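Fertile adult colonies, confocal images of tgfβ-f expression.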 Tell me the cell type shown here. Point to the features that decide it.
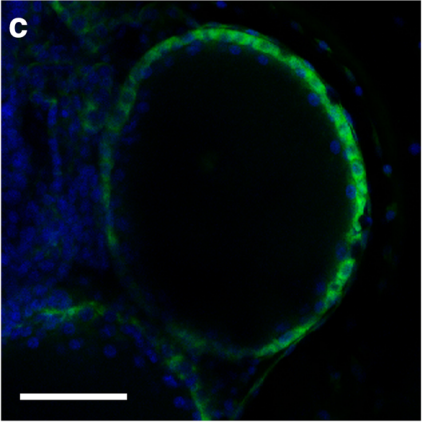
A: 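Maturing oocytes. A single very large round cell fills most of the panel. Its interior is dark and without small nuclei. It is wrapped by a thin cell layer.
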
